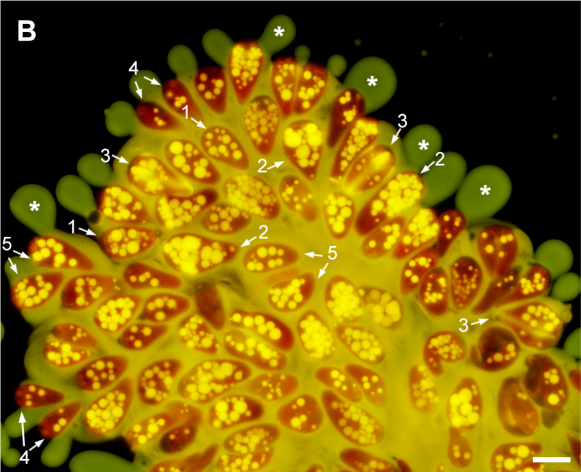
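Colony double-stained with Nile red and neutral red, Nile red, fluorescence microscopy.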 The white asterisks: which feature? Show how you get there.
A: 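Smooth, rounded greenish lobes project from the colony edge. The lobes contain no cells. They are continuous with the matrix surrounding the cells.
Answer: exuded lipids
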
